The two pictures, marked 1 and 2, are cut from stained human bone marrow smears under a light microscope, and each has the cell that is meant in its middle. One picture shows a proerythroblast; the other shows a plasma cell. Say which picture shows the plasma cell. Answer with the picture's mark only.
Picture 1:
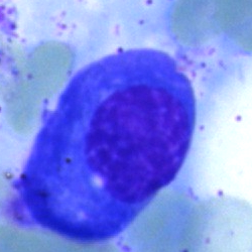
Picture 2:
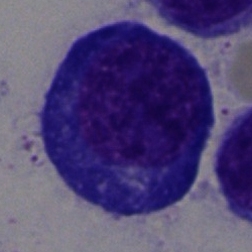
1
